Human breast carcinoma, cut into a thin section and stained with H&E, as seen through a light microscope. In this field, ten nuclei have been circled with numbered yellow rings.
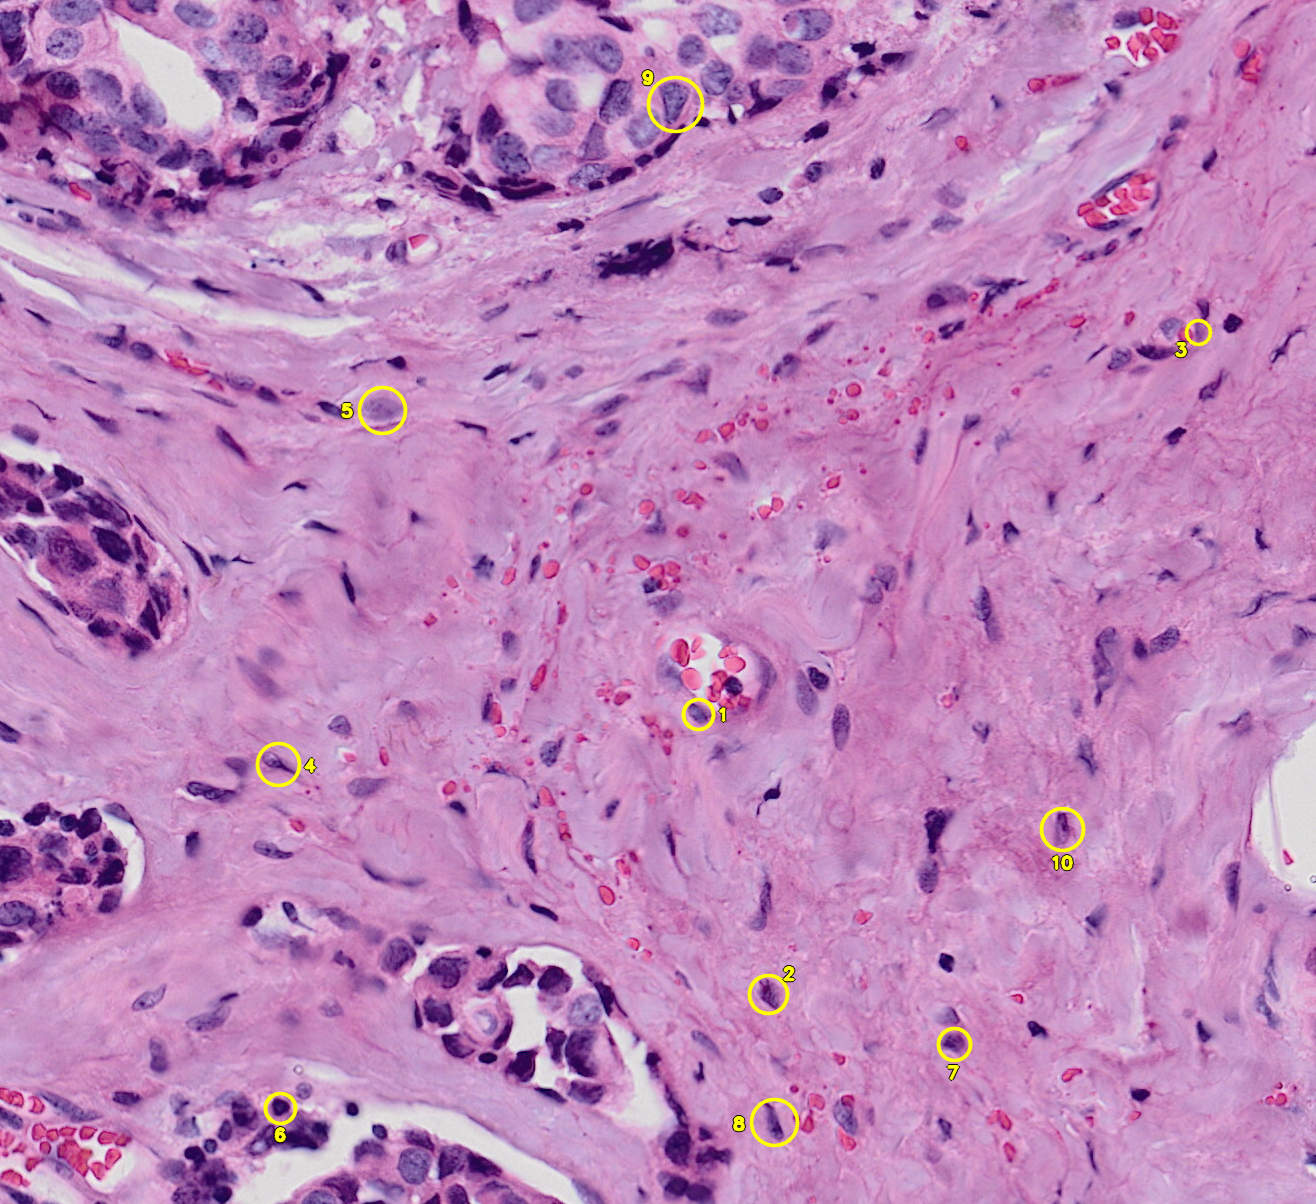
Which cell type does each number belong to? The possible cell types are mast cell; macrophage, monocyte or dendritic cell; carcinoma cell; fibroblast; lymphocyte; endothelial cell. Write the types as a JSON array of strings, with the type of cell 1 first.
["endothelial cell", "fibroblast", "endothelial cell", "fibroblast", "fibroblast", "lymphocyte", "fibroblast", "fibroblast", "carcinoma cell", "fibroblast"]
